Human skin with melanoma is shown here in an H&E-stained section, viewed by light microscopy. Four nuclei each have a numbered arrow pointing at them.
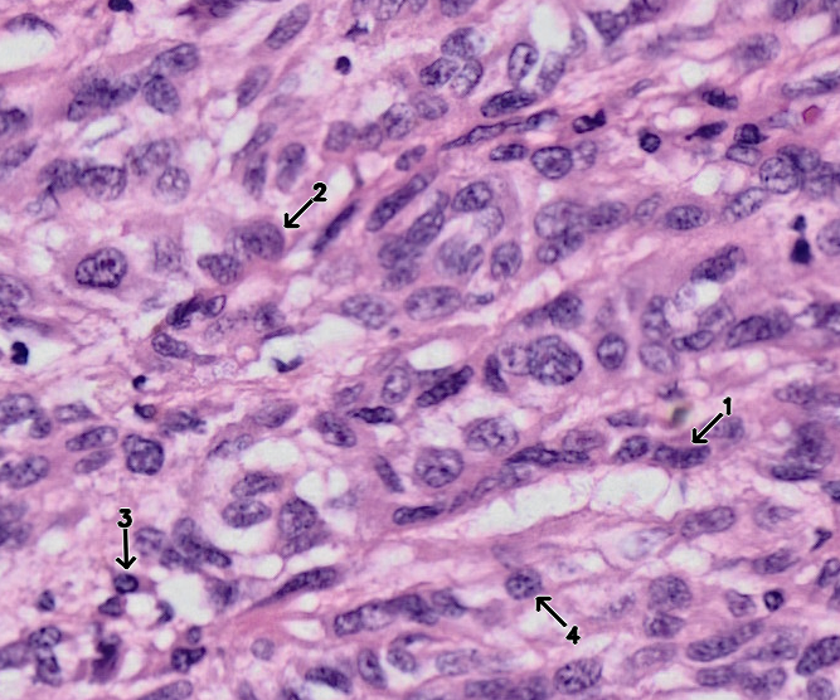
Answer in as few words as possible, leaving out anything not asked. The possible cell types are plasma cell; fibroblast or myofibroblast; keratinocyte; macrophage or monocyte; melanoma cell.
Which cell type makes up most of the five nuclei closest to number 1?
melanoma cell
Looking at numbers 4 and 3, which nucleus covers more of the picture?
4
